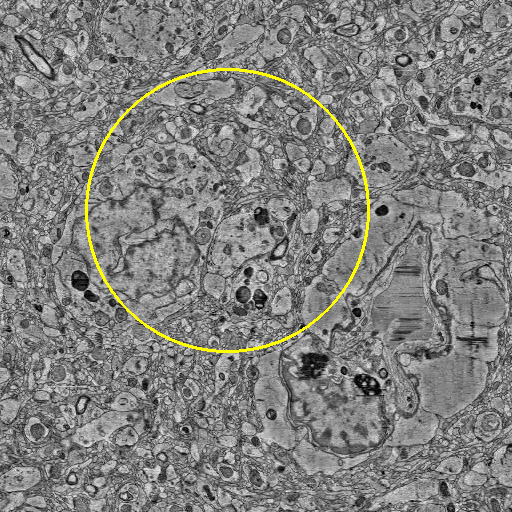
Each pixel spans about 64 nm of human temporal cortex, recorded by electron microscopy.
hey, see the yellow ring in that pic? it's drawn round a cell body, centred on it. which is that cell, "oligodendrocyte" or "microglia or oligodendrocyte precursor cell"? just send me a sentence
The cell in the ring is a microglial cell or oligodendrocyte precursor cell.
